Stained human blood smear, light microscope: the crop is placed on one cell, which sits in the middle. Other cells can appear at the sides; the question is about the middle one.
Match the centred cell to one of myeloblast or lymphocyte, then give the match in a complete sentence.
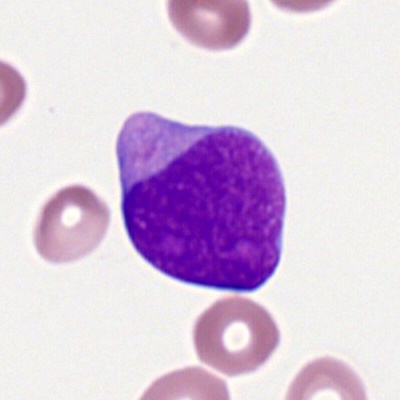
Whatever else lies nearby, the middle cell is a myeloblast.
